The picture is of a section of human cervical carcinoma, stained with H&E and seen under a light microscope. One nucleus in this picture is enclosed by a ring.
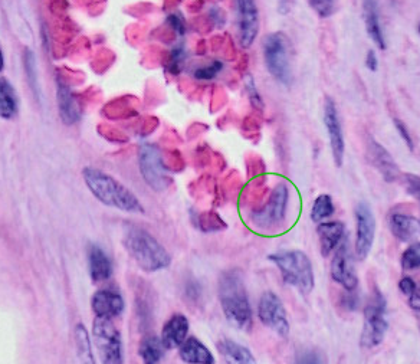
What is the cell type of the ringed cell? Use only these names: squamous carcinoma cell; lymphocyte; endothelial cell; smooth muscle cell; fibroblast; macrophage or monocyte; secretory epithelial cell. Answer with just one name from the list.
endothelial cell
